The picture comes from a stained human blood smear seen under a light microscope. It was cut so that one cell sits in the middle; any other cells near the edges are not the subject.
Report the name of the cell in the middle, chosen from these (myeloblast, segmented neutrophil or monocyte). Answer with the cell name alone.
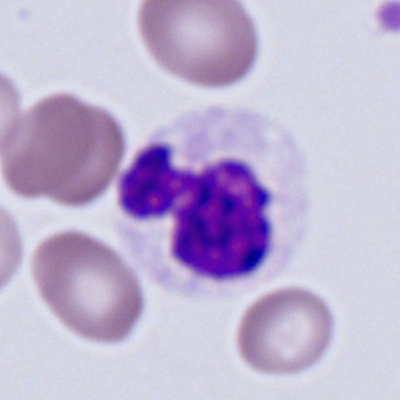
segmented neutrophil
